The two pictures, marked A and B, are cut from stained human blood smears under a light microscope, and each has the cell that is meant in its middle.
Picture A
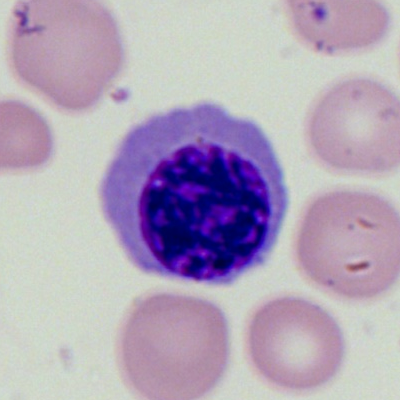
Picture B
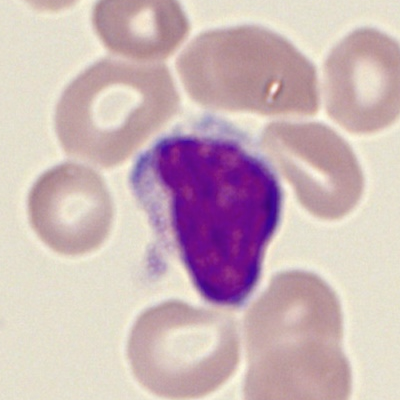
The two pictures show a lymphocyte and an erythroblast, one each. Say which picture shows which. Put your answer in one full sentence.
Picture A shows an erythroblast and picture B shows a lymphocyte.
